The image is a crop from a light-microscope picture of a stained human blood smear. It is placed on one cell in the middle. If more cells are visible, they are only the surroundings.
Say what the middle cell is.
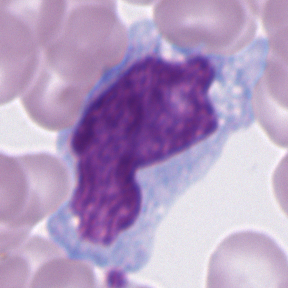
monocyte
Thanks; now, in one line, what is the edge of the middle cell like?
In outline, the cell is irregular, ragged in stretches or drawn into projections.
